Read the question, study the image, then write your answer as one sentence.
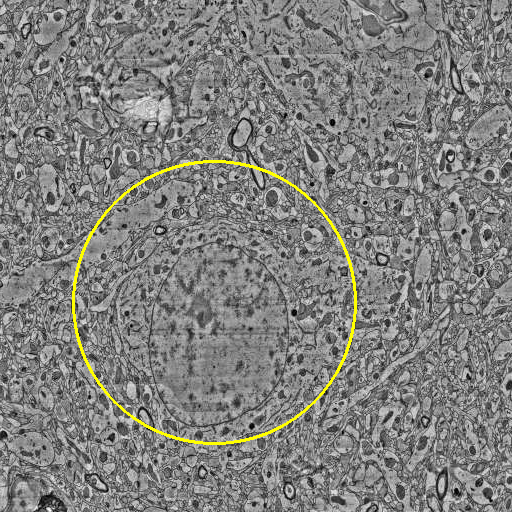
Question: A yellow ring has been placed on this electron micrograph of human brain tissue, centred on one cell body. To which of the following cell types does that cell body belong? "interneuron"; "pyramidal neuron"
That cell body belongs to a pyramidal neuron.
